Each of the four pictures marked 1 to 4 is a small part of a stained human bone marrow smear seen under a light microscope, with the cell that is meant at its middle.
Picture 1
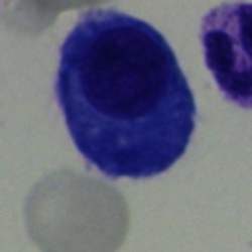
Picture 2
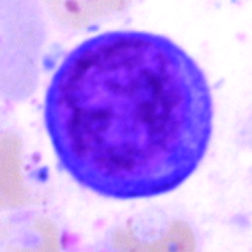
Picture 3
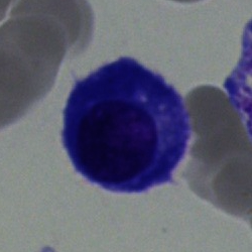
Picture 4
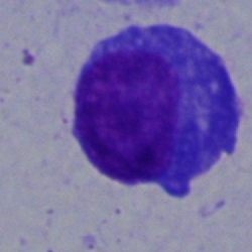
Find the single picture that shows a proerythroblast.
2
